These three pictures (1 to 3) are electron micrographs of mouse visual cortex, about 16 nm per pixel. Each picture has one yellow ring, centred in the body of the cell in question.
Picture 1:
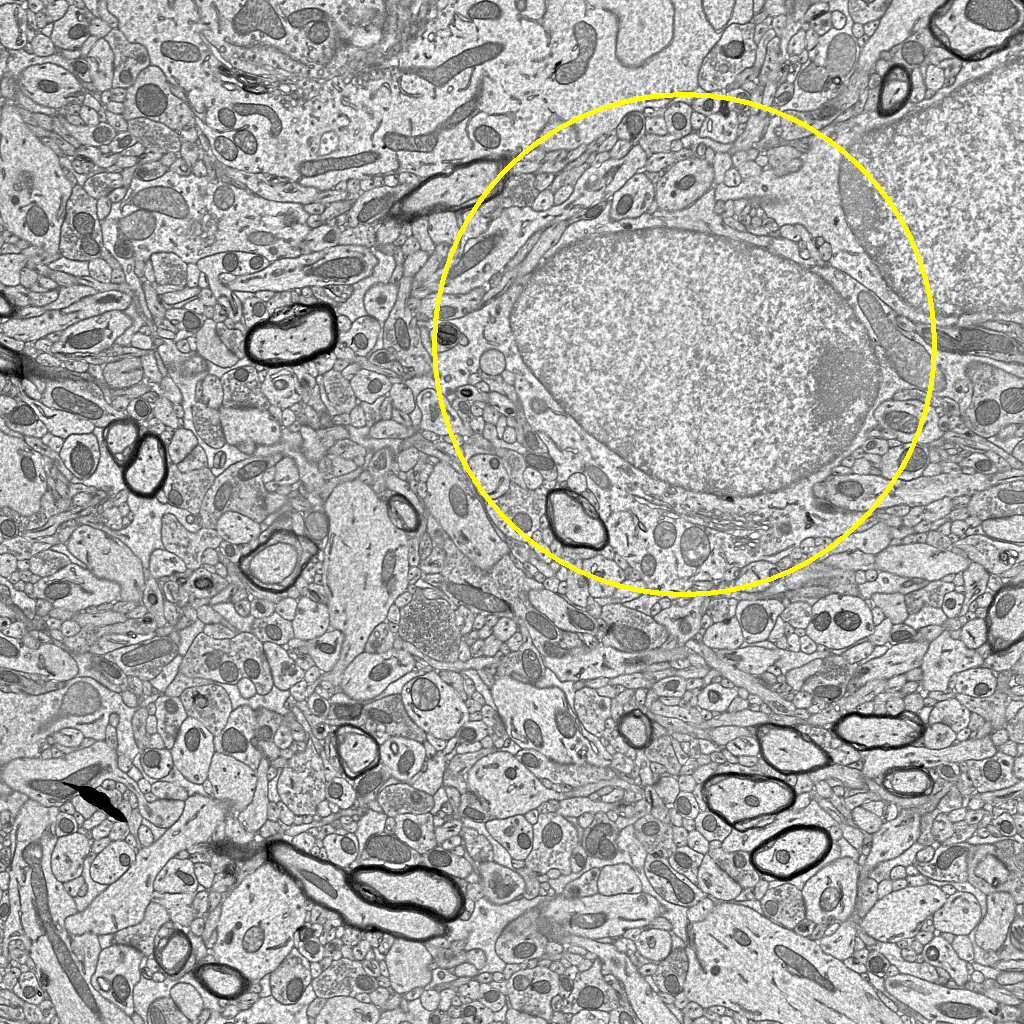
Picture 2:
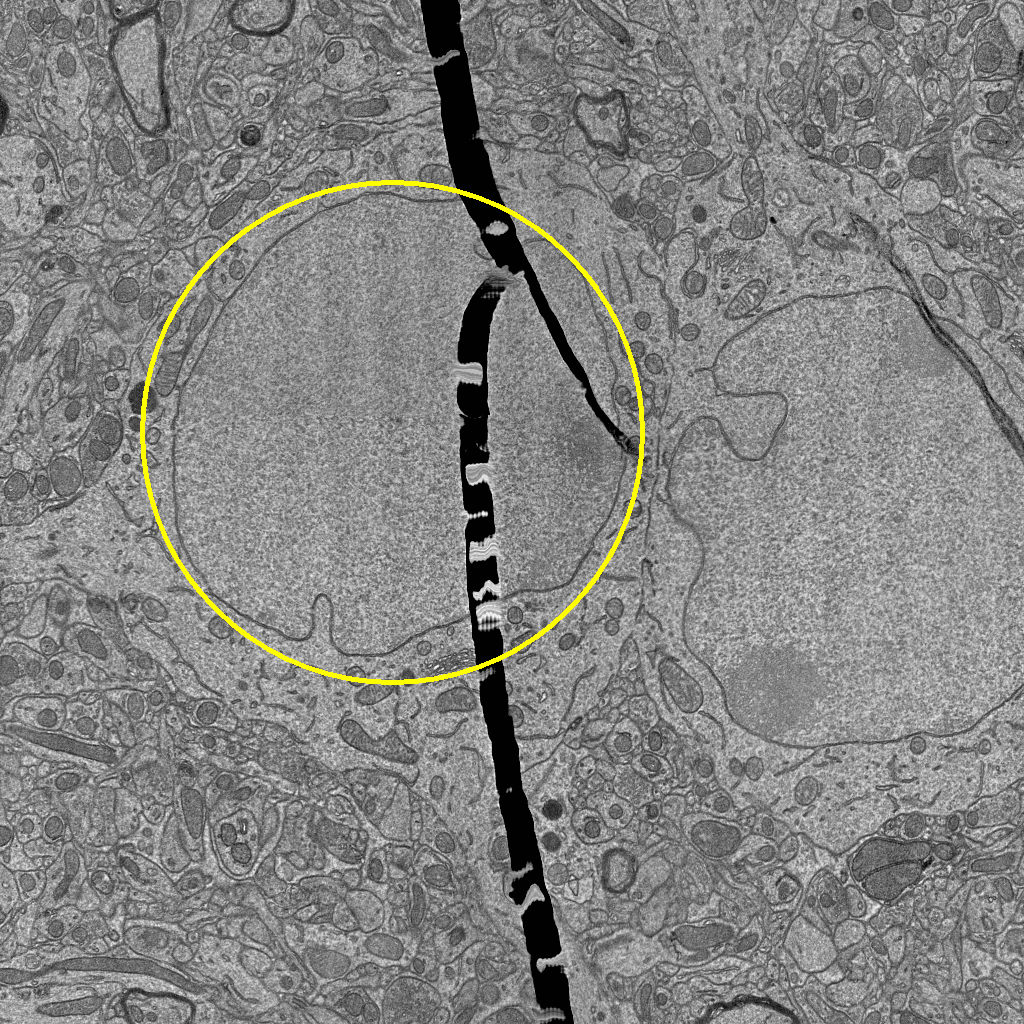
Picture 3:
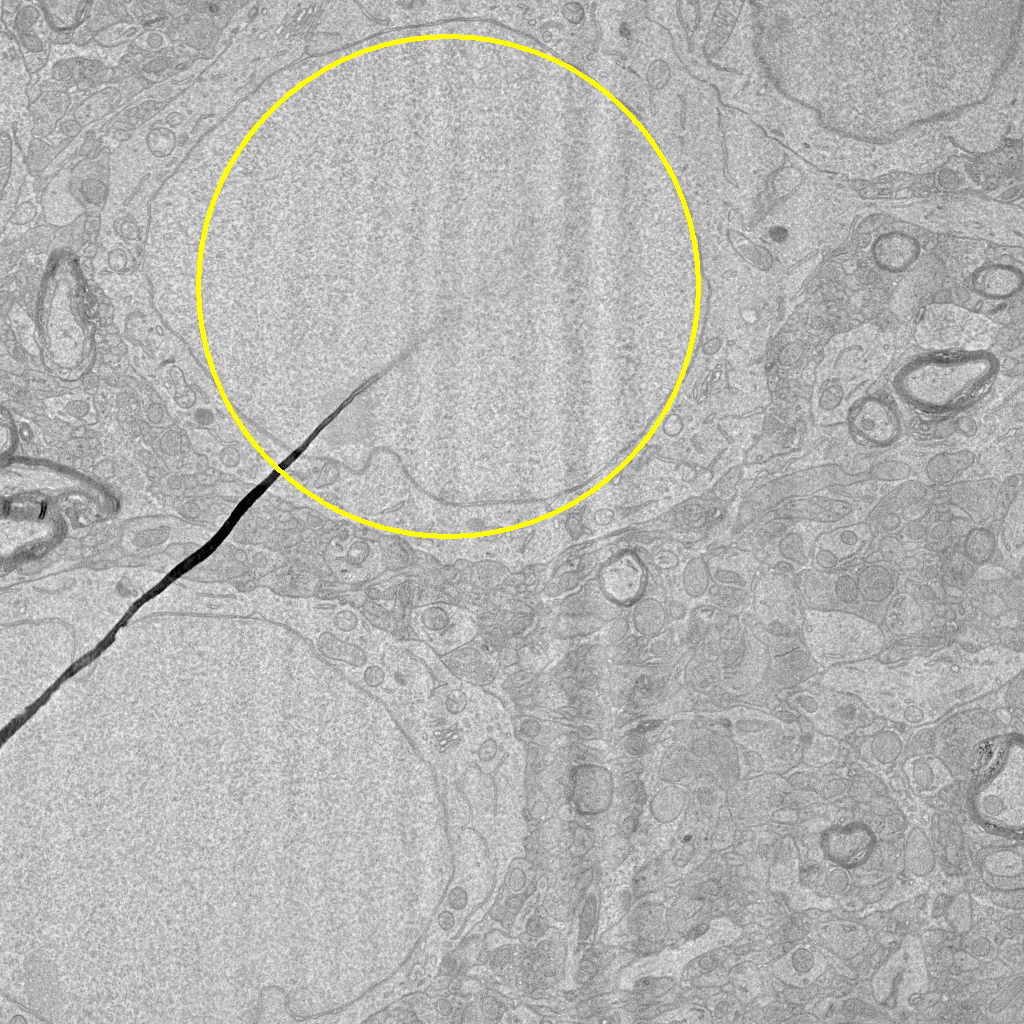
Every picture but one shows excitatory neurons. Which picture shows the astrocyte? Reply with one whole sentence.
It is picture 1 that shows the astrocyte.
